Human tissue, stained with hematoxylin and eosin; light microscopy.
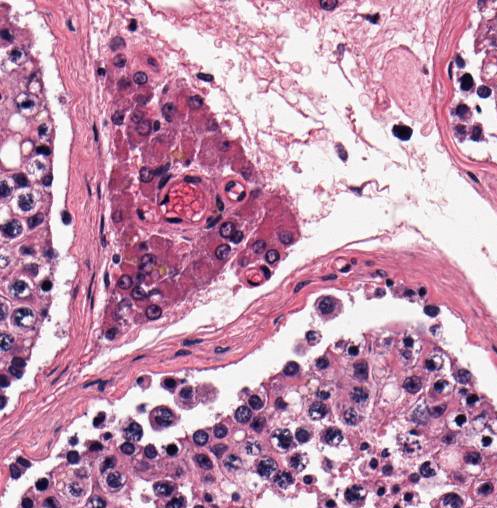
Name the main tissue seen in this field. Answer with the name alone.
seminiferous tubule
